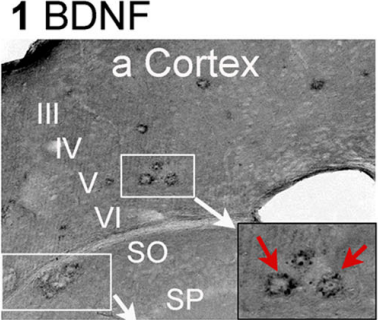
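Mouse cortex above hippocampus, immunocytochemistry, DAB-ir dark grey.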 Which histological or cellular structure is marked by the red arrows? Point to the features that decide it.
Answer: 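The enlarged inset shows small round foci with dark grey rims. Several similar dark ring-like foci are scattered in the cortex. The answer: plaques.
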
